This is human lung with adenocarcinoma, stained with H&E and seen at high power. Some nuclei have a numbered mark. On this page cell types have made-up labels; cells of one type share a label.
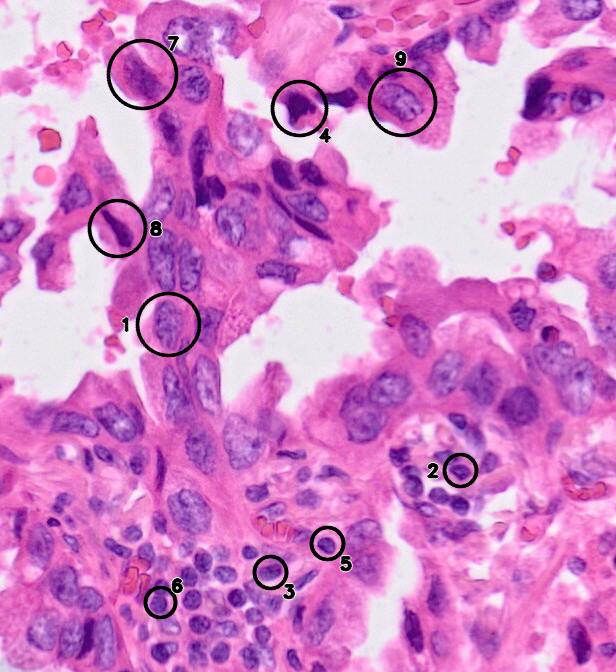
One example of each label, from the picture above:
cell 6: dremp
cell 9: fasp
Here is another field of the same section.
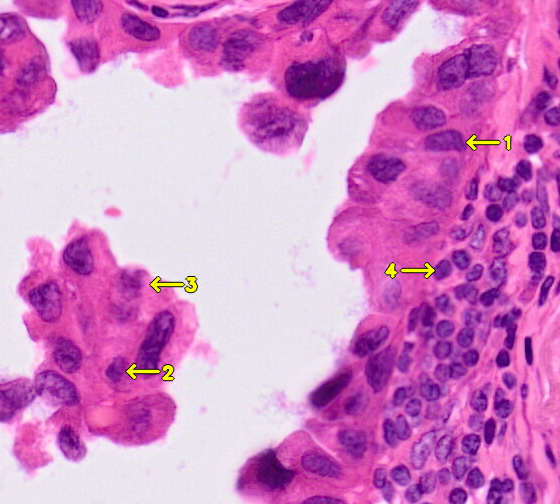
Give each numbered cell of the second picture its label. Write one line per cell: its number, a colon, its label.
1: fasp
2: fasp
3: fasp
4: dremp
